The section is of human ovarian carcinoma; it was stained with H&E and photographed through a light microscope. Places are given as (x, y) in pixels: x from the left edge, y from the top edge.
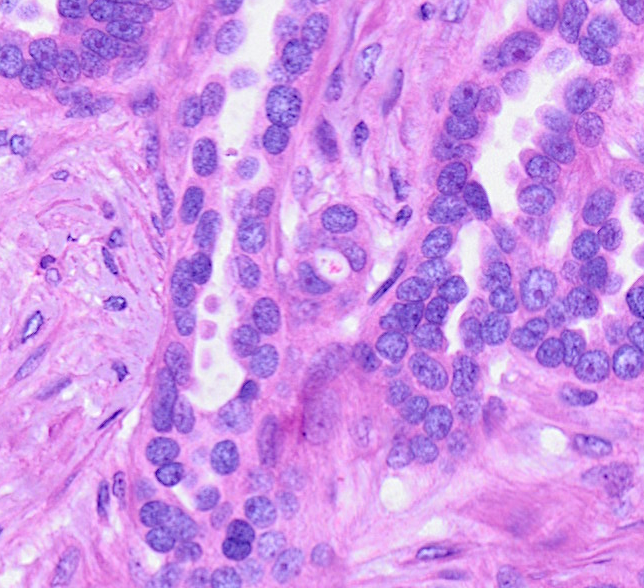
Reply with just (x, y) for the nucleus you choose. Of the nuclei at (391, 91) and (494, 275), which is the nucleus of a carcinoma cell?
(494, 275)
